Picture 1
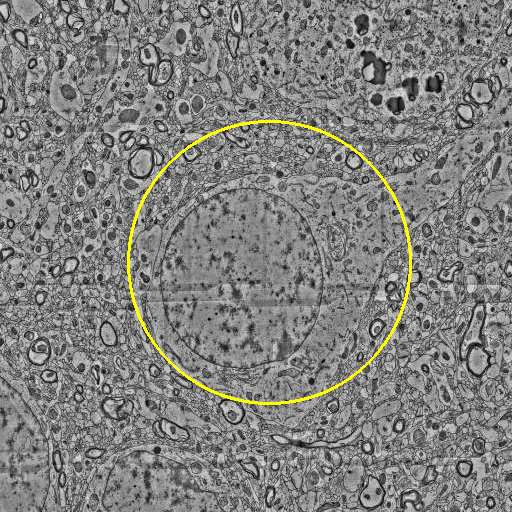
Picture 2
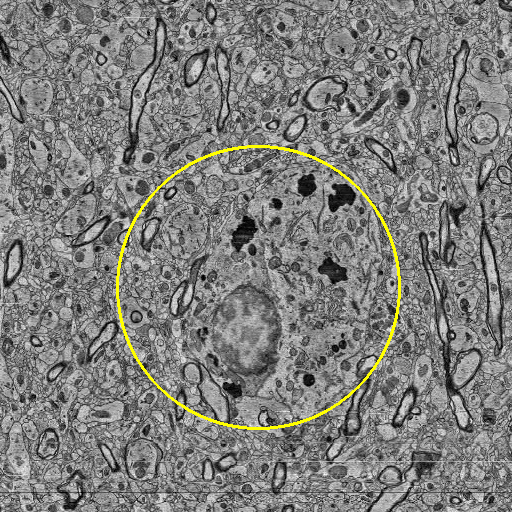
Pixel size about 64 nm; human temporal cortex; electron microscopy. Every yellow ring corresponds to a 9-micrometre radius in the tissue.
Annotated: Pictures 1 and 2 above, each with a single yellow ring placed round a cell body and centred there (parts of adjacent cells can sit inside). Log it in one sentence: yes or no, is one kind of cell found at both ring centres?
No, the ring centres of the two pictures hold cells of two kinds.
